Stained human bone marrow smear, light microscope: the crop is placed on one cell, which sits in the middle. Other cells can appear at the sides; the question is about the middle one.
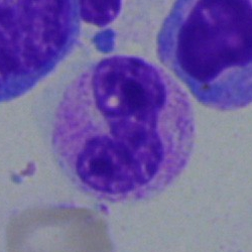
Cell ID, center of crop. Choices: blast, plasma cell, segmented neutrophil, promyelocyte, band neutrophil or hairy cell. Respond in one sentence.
The cell at the centre of the field is a band neutrophil.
